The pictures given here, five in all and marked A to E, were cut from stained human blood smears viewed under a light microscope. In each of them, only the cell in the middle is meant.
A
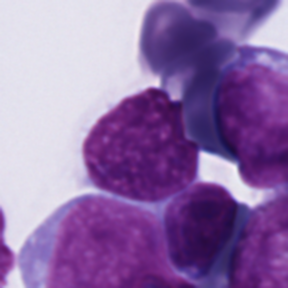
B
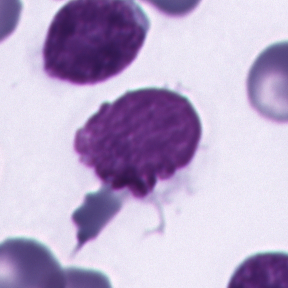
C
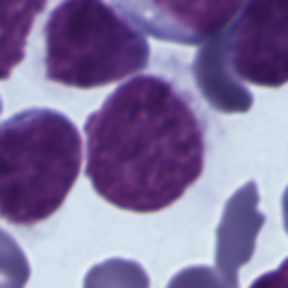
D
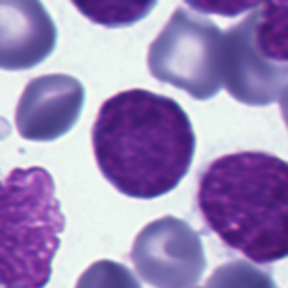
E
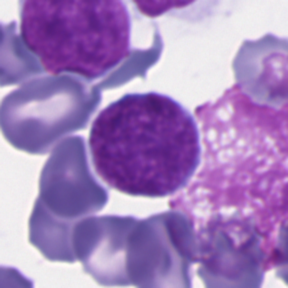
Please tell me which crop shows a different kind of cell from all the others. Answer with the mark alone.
B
